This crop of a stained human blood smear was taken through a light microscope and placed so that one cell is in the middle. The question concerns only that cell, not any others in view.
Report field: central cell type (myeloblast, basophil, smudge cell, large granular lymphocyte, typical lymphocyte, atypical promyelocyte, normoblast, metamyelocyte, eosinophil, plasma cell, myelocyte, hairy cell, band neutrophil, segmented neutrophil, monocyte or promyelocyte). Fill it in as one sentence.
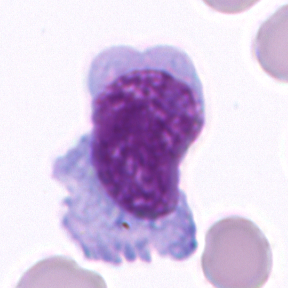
The cell that lies at the centre of the crop is a plasma cell.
